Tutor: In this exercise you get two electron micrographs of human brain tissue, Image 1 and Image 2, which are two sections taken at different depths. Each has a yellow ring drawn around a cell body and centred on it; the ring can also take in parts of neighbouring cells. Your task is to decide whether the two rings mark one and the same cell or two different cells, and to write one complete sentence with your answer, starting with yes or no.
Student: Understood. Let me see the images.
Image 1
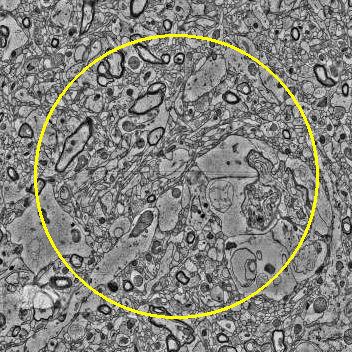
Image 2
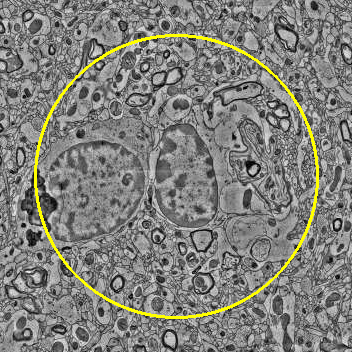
Yes, both marked profiles belong to the very same cell.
